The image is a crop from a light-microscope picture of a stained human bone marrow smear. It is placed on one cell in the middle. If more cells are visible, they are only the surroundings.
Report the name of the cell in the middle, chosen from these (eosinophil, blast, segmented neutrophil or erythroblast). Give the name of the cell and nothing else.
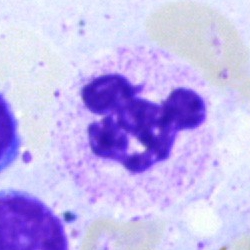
segmented neutrophil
